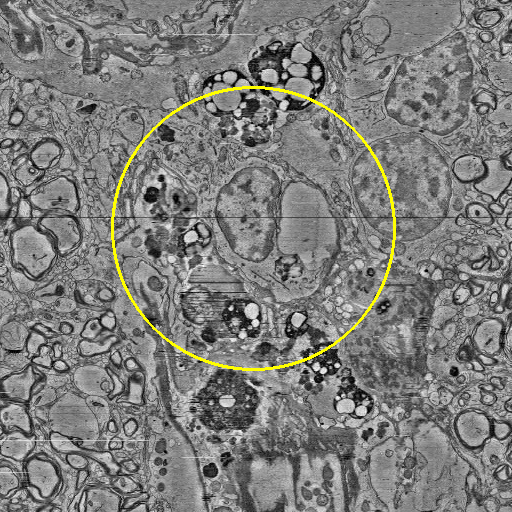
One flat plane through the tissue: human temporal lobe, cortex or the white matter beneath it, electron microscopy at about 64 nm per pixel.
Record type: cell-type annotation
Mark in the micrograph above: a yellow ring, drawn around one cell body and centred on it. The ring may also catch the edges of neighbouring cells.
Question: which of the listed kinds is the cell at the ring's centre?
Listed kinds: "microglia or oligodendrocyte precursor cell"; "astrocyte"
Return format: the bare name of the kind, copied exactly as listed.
microglia or oligodendrocyte precursor cell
